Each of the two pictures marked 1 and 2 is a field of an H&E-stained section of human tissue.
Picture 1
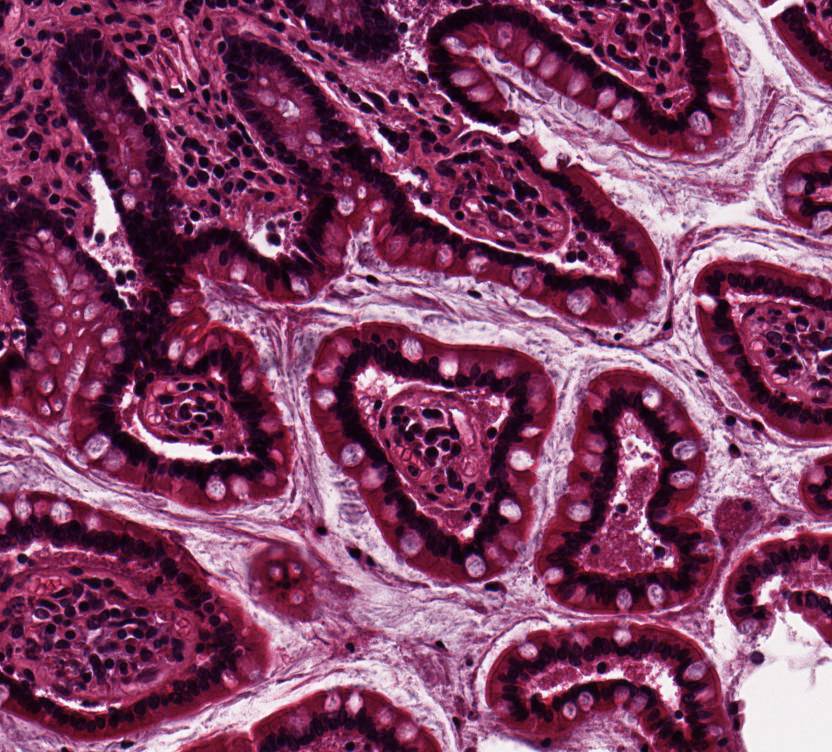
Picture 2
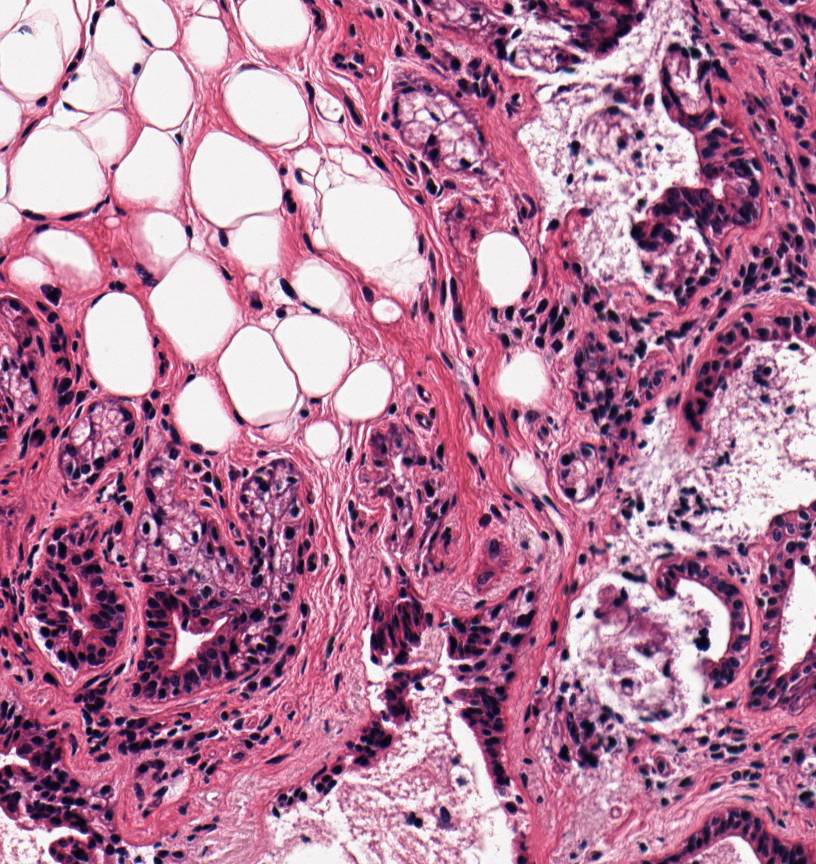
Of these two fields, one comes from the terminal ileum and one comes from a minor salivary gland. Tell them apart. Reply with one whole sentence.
Picture 2 comes from a minor salivary gland, while picture 1 comes from the terminal ileum.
